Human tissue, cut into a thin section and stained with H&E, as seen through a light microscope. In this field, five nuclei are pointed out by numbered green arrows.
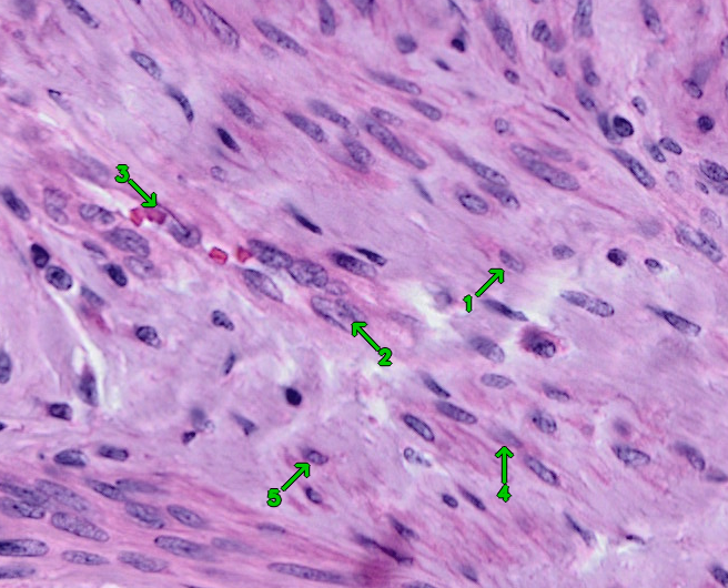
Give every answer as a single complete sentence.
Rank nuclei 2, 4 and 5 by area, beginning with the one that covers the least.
Smallest first, the nuclei run 5, 4, 2.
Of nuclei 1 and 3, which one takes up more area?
Of the two, number 3 is bigger and takes up about 4 times the area of number 1.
